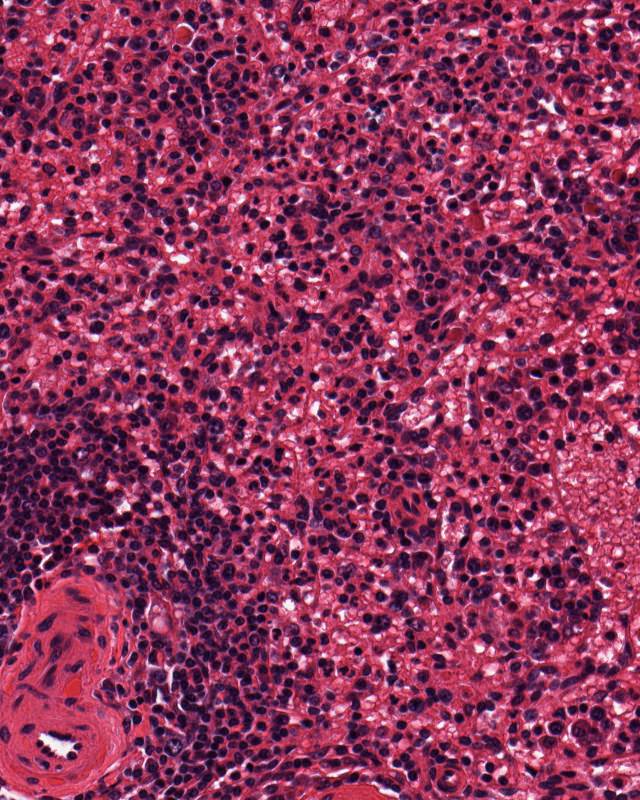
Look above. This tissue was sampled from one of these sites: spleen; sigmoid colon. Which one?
spleen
